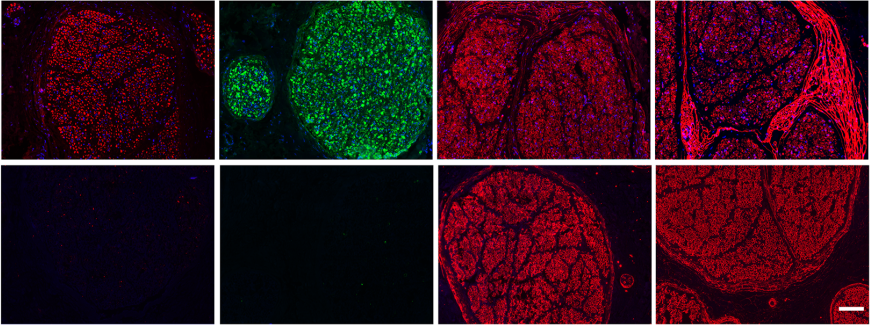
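These are cross-sections of peripheral nerve, made up of rounded fascicles wrapped in sheaths of connective tissue. In the upper row each fascicle is crowded with small round red or green dots, the profiles of cut axons and their surrounding cells. Blue nuclei are scattered among them. Around the fascicles, bright red bands of connective tissue form thick layers. In the lower row the red and green dots are gone and no blue nuclei are left. The red mesh of small tubes inside the fascicles and the sheaths around them still remains.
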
